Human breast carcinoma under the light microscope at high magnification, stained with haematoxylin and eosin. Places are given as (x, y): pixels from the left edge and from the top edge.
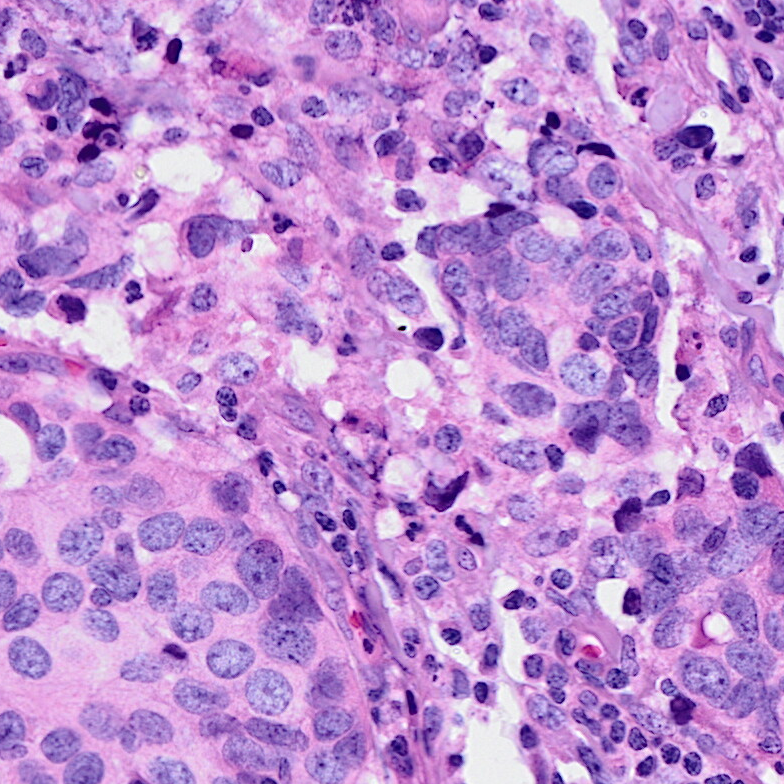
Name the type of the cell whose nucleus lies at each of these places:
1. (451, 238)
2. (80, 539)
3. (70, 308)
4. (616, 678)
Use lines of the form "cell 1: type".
cell 1: carcinoma cell
cell 2: carcinoma cell
cell 3: carcinoma cell
cell 4: lymphocyte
